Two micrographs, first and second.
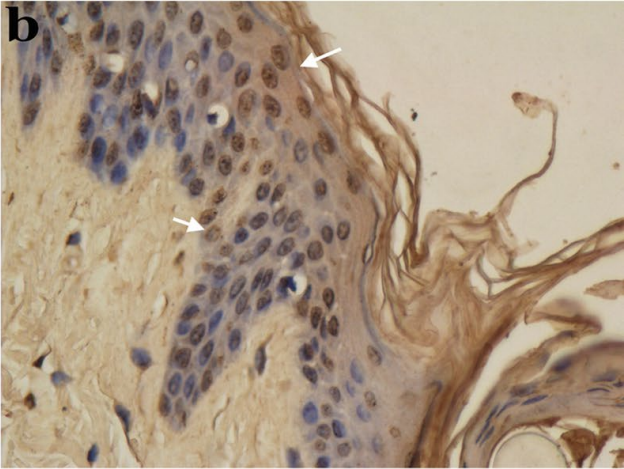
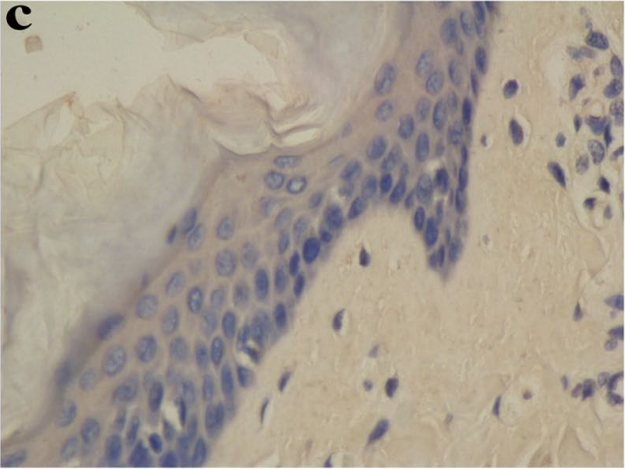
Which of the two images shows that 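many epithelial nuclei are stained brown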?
the first image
